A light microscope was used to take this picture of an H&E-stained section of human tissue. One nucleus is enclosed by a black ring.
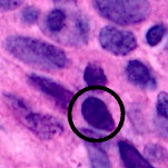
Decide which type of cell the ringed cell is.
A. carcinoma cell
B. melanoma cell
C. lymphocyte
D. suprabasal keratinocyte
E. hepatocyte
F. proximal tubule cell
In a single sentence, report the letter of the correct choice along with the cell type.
It is correct to say that the ringed cell is a carcinoma cell, as option A does.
